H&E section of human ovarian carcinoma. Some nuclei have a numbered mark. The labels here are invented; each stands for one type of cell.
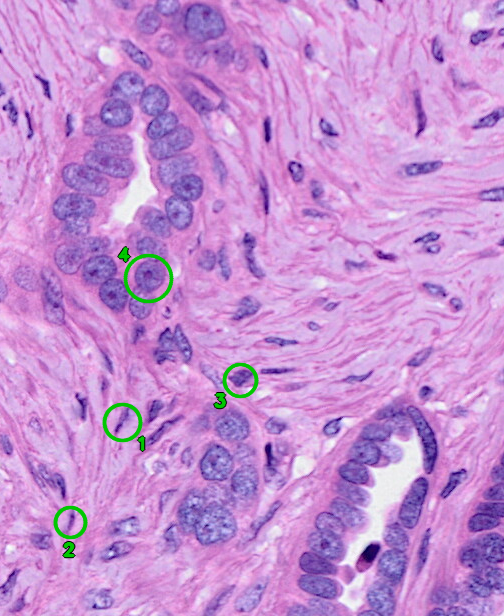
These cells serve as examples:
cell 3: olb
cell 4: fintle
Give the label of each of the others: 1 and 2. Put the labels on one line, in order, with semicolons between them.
olb; olb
